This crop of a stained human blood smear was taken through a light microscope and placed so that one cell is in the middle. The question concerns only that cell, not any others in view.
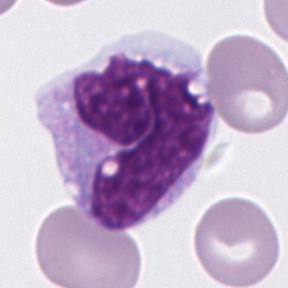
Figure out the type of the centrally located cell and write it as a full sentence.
In this crop, the cell at the very middle is a monocyte.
